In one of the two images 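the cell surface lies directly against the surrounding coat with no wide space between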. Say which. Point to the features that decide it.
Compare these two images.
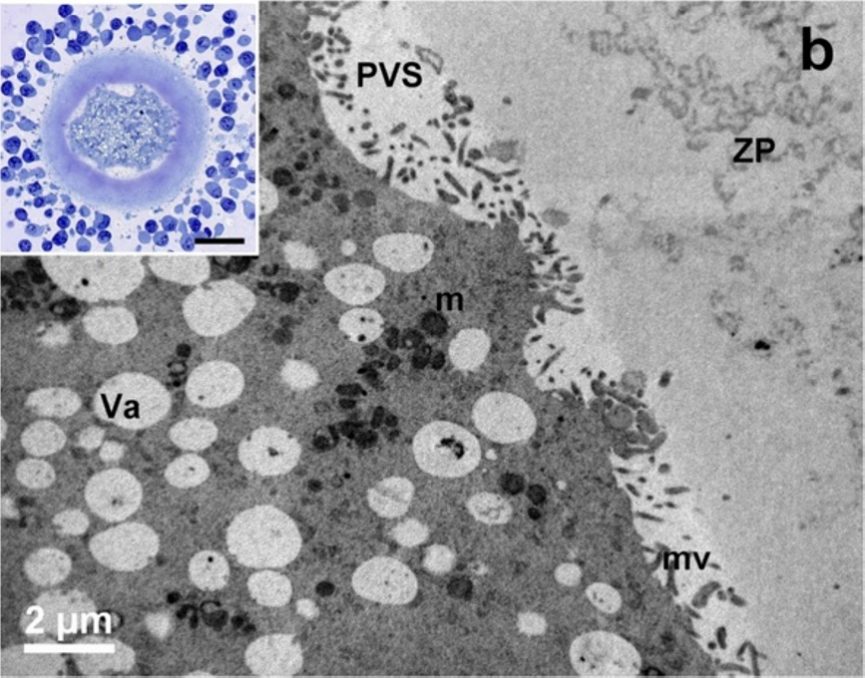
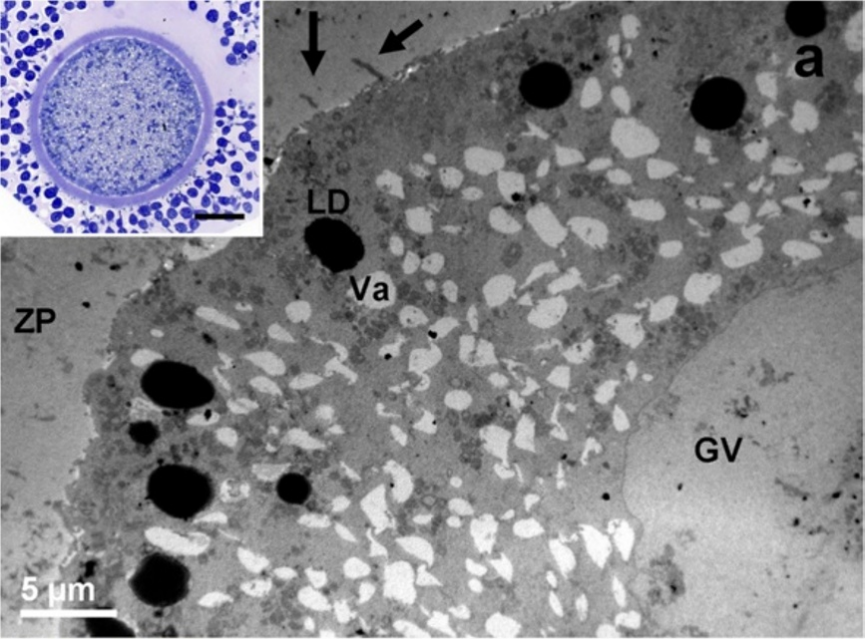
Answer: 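The second image. First image: a broad pale space filled with many short projections separates the cell surface from the coat. Second image: the cell surface runs close along the coat with no broad space between them.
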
